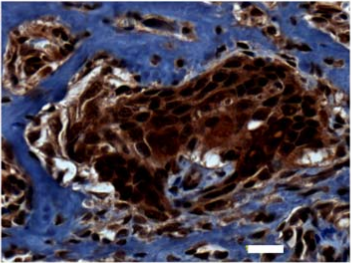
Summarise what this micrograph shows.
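This is a tumor focus within bone, made of tightly packed epithelial-looking cells stained strongly brown in their cytoplasm. The cells are crowded and polygonal to spindle-shaped, with dark, oval to elongated nuclei, and form a solid nest with little intervening stroma. Around the nest lies pale blue bone matrix, in which a few small, scattered nuclei are visible. Smaller brown cell clusters appear in the spaces at the edges of the field, also bordered by the blue matrix, so the tumor cells fill the spaces between bony trabeculae.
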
